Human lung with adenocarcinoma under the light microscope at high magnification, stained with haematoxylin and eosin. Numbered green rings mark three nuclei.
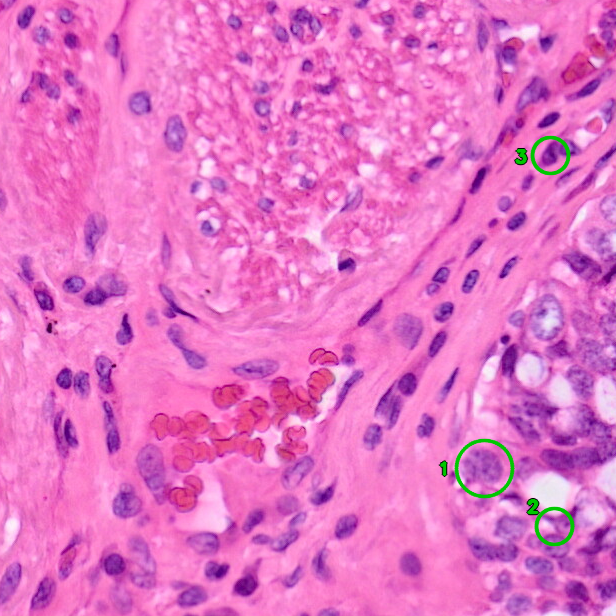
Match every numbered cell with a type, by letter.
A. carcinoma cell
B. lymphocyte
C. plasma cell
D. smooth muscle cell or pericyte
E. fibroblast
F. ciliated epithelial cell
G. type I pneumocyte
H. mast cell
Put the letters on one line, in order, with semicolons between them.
F; F; C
